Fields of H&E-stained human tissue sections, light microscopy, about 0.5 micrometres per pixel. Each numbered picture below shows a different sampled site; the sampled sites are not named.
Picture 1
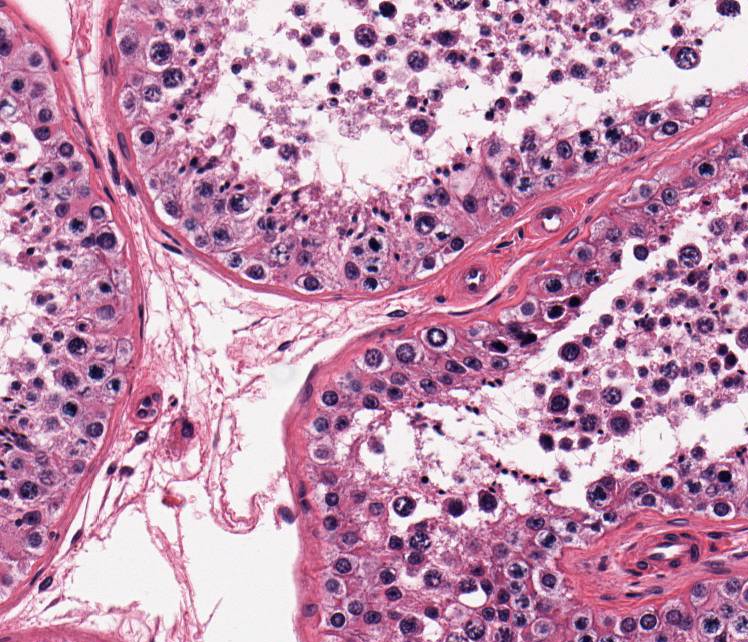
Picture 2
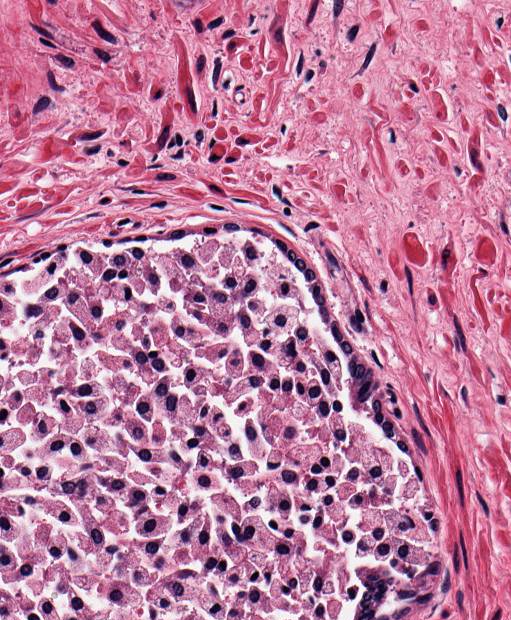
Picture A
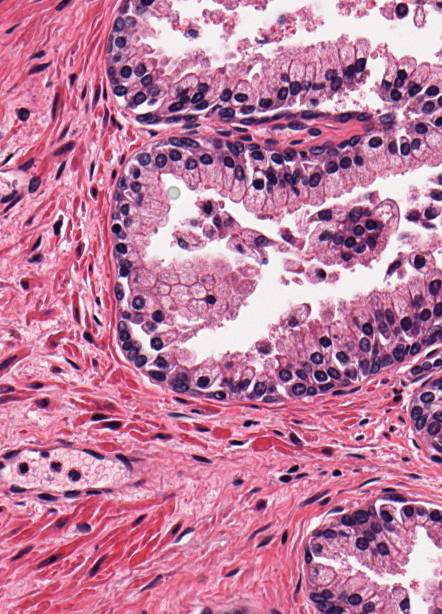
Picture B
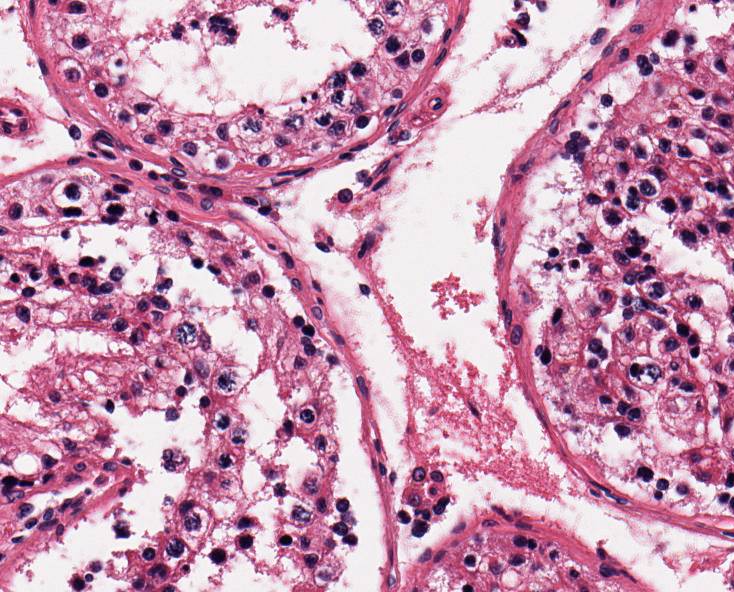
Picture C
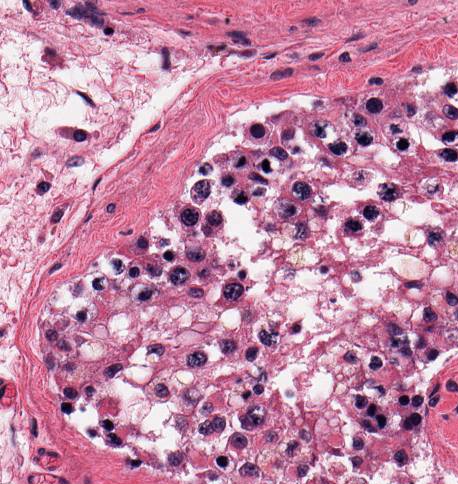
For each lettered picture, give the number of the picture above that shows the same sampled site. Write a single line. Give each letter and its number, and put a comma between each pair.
A 2, B 1, C 1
